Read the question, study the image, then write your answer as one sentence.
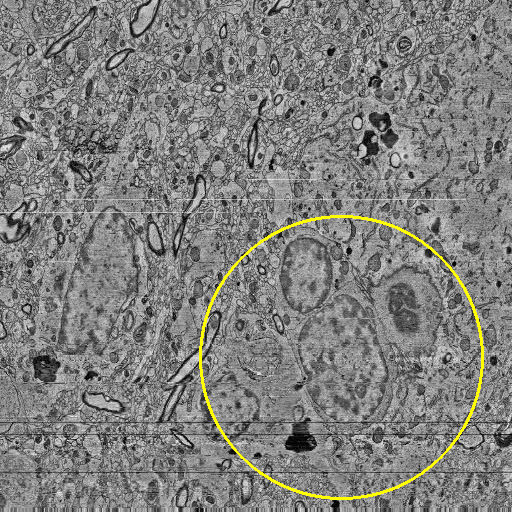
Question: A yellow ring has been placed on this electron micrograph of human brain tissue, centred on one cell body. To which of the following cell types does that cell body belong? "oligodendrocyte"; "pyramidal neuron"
That cell body belongs to an oligodendrocyte.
